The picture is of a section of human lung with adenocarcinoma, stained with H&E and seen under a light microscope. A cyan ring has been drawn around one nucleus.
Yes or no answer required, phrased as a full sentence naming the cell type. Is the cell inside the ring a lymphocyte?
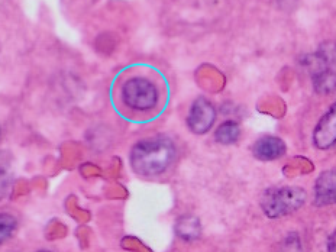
No, the cell inside the ring is a macrophage or monocyte rather than a lymphocyte in this section.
